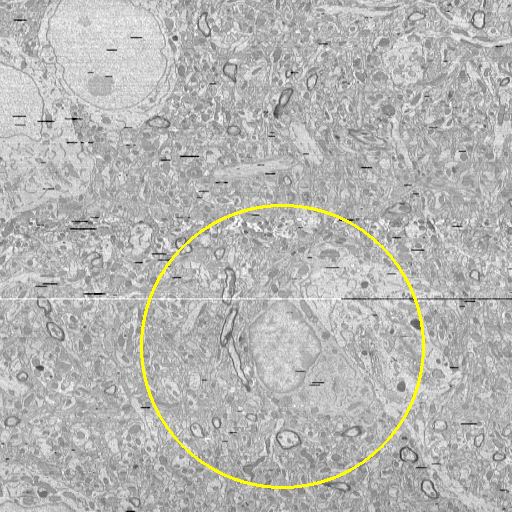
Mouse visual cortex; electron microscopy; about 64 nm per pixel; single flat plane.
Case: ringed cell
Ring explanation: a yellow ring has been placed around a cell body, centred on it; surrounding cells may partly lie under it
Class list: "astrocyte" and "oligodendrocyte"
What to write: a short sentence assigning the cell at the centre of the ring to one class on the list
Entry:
The cell at the ring's centre is an oligodendrocyte.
